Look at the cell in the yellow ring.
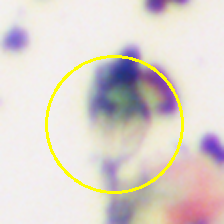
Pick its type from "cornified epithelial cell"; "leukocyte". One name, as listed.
cornified epithelial cell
